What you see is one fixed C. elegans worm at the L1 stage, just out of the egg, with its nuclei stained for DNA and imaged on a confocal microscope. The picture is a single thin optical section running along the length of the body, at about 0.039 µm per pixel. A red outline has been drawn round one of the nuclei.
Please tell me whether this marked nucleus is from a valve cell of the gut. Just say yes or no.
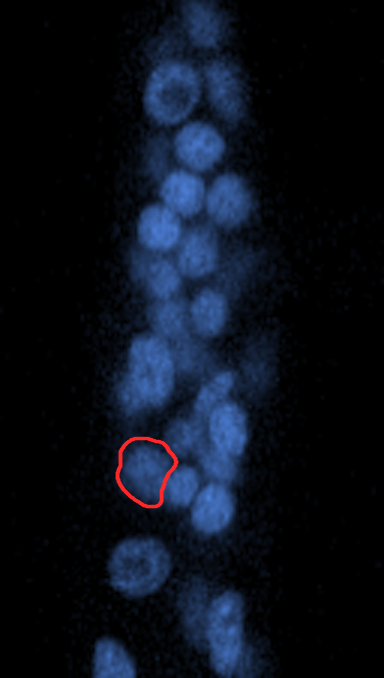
yes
